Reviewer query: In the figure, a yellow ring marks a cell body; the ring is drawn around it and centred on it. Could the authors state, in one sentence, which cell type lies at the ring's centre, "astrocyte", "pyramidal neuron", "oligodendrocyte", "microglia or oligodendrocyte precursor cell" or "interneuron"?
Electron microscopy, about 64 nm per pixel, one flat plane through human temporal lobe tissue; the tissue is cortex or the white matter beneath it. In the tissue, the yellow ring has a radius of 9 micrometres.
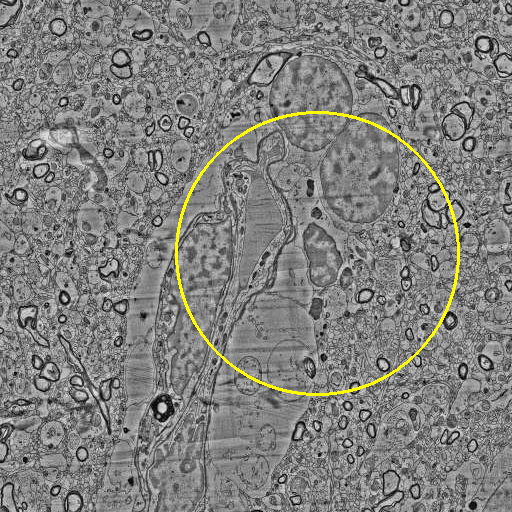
The ring is centred on a microglial cell or oligodendrocyte precursor cell.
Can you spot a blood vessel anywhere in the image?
Yes, a vessel appears in the picture.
